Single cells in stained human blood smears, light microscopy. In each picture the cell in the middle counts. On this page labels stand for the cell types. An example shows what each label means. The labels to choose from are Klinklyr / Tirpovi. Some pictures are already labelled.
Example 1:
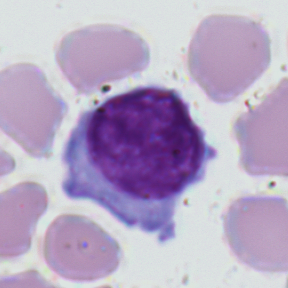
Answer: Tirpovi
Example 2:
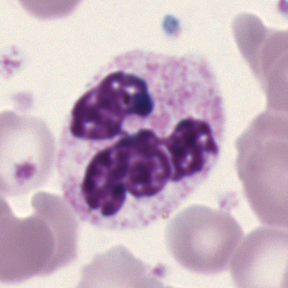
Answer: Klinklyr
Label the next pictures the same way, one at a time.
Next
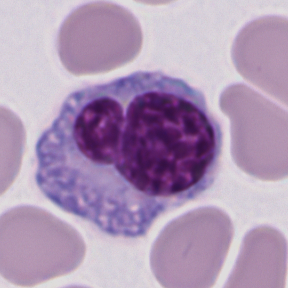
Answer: Tirpovi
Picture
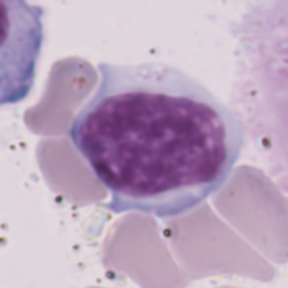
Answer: Tirpovi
